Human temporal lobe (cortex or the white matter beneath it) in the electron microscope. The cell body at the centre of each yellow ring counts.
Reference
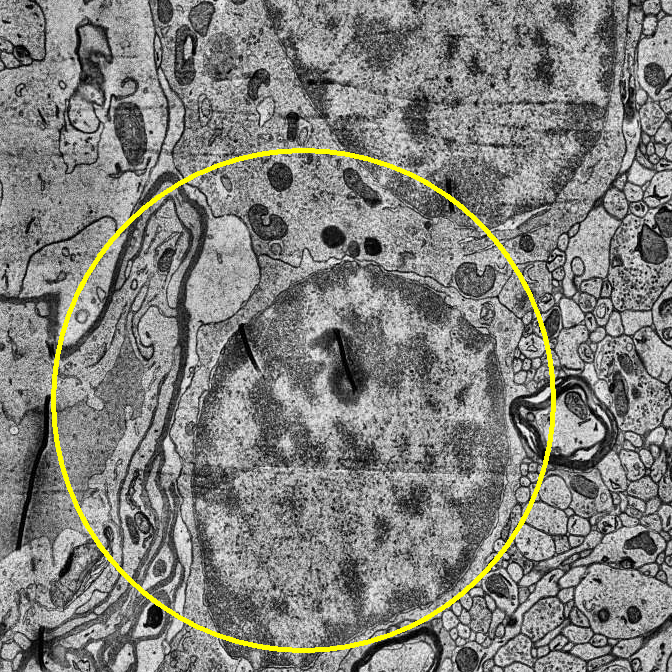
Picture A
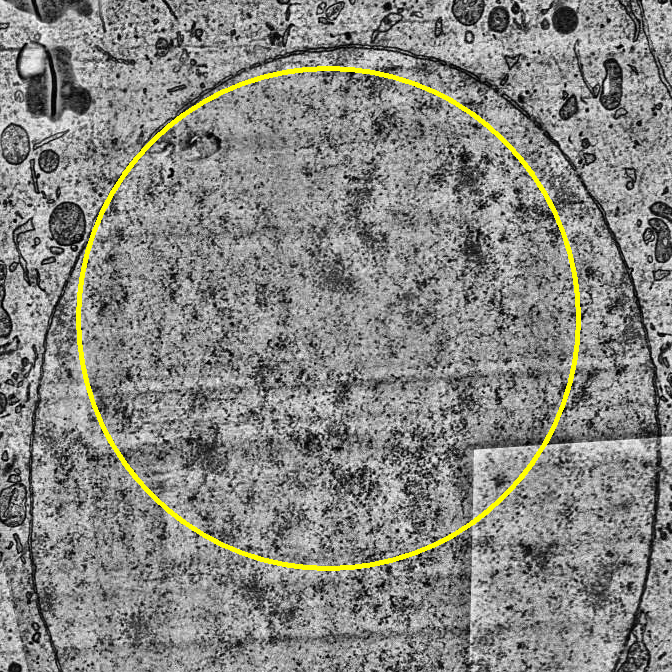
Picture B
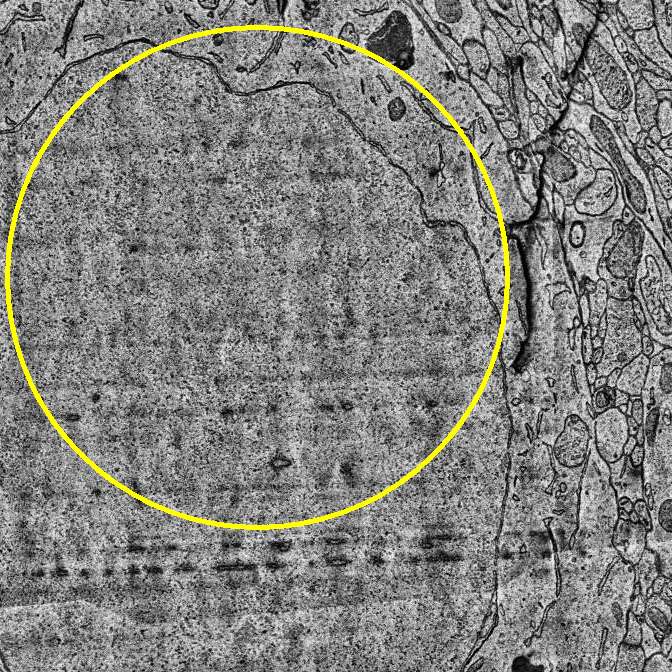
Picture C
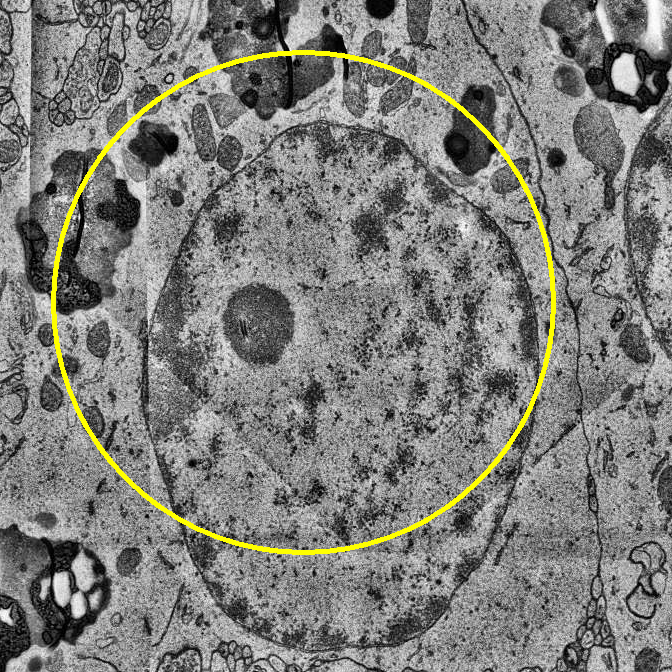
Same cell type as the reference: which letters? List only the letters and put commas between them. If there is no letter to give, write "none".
none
